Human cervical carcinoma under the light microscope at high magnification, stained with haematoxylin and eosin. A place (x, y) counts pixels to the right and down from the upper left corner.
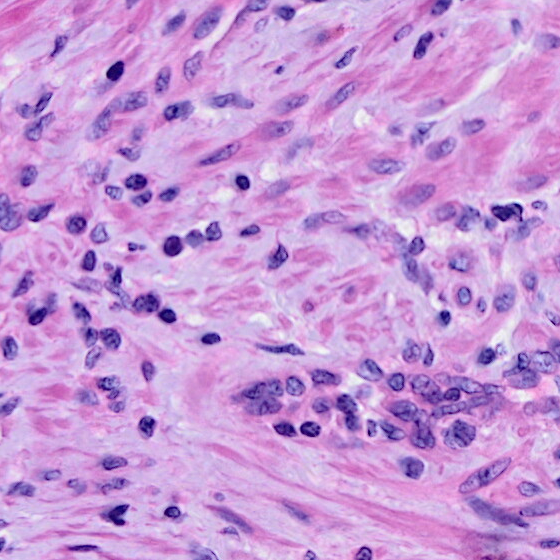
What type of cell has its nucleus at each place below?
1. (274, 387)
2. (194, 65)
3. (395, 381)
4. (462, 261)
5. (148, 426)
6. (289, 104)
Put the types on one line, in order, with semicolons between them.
endothelial cell; endothelial cell; endothelial cell; smooth muscle cell; lymphocyte; smooth muscle cell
